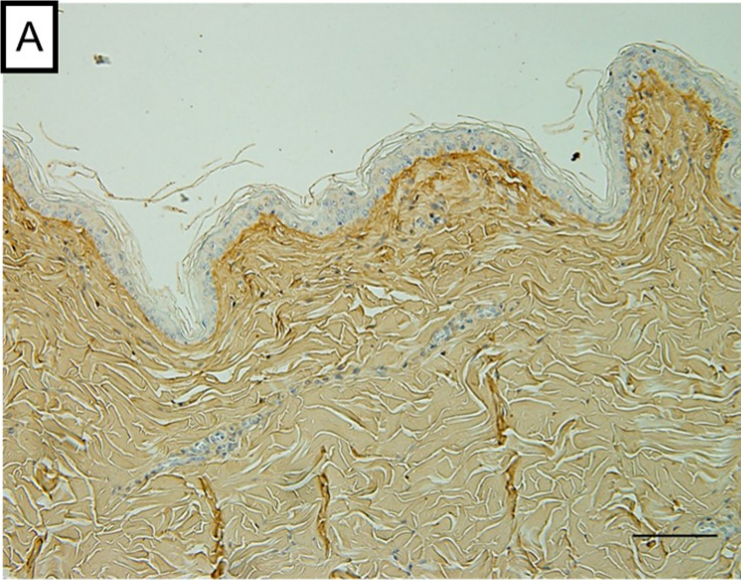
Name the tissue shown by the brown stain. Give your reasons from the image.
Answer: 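Brown stain fills the wavy fibrous connective tissue. This stained layer lies beneath a thin, largely unstained stratified epithelium with a flaky surface layer. Small vessels run through the stained fibrous layer.
Answer: dermis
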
